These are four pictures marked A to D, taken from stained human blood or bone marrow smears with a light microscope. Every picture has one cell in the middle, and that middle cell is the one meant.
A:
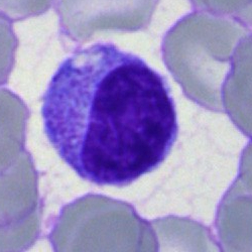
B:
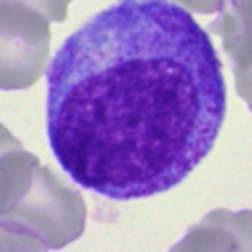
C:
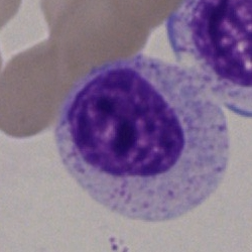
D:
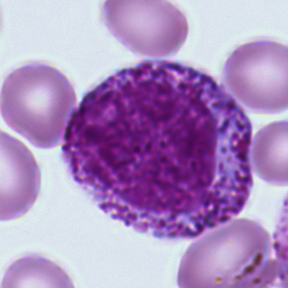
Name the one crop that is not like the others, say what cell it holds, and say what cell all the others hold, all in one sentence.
Crop B is the sole crop with a promyelocyte; the others all have myelocytes.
